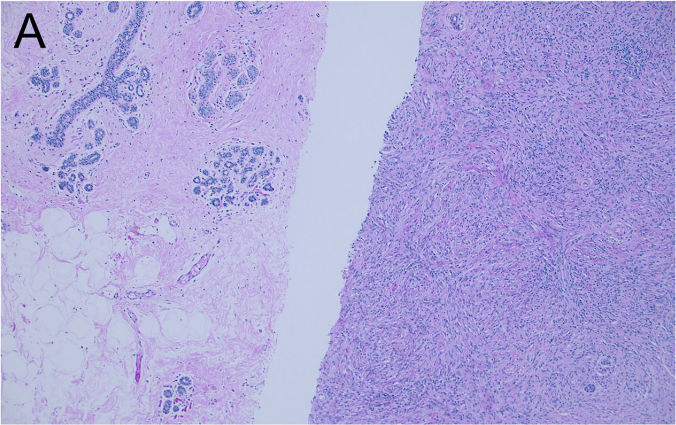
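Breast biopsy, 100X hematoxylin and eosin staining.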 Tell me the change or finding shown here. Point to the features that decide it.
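Sheets of packed proliferating cells. The right half is a dense, uniform sheet of closely packed spindle-to-oval cells. This cellular sheet has pink cytoplasm and effaces normal architecture. The left half shows ducts, lobules and fat in loose pink stroma.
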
